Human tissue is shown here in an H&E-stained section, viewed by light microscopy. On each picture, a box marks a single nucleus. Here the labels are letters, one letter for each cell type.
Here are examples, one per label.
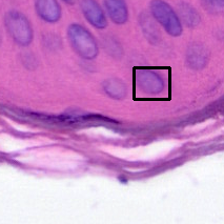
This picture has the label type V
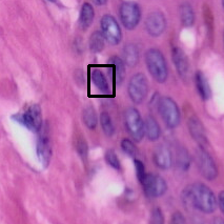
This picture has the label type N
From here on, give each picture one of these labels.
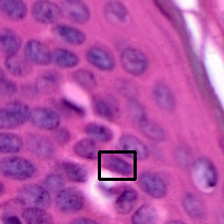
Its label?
type N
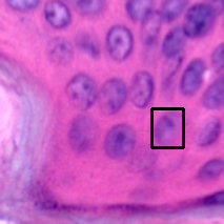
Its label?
type V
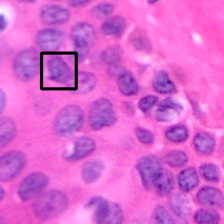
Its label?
type V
